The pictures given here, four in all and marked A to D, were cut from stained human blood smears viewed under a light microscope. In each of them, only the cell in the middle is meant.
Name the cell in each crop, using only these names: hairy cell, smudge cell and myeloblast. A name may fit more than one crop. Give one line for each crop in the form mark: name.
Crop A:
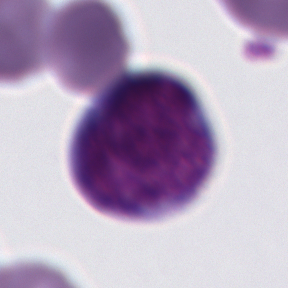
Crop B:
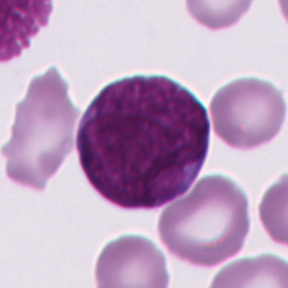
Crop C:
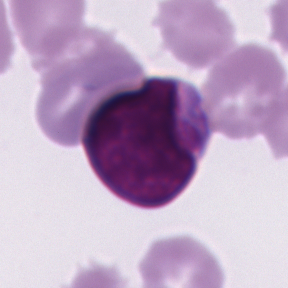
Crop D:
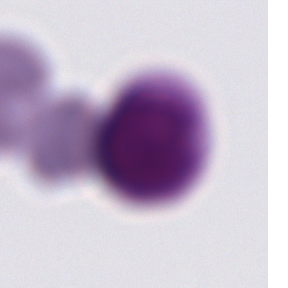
A: myeloblast
B: myeloblast
C: myeloblast
D: smudge cell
